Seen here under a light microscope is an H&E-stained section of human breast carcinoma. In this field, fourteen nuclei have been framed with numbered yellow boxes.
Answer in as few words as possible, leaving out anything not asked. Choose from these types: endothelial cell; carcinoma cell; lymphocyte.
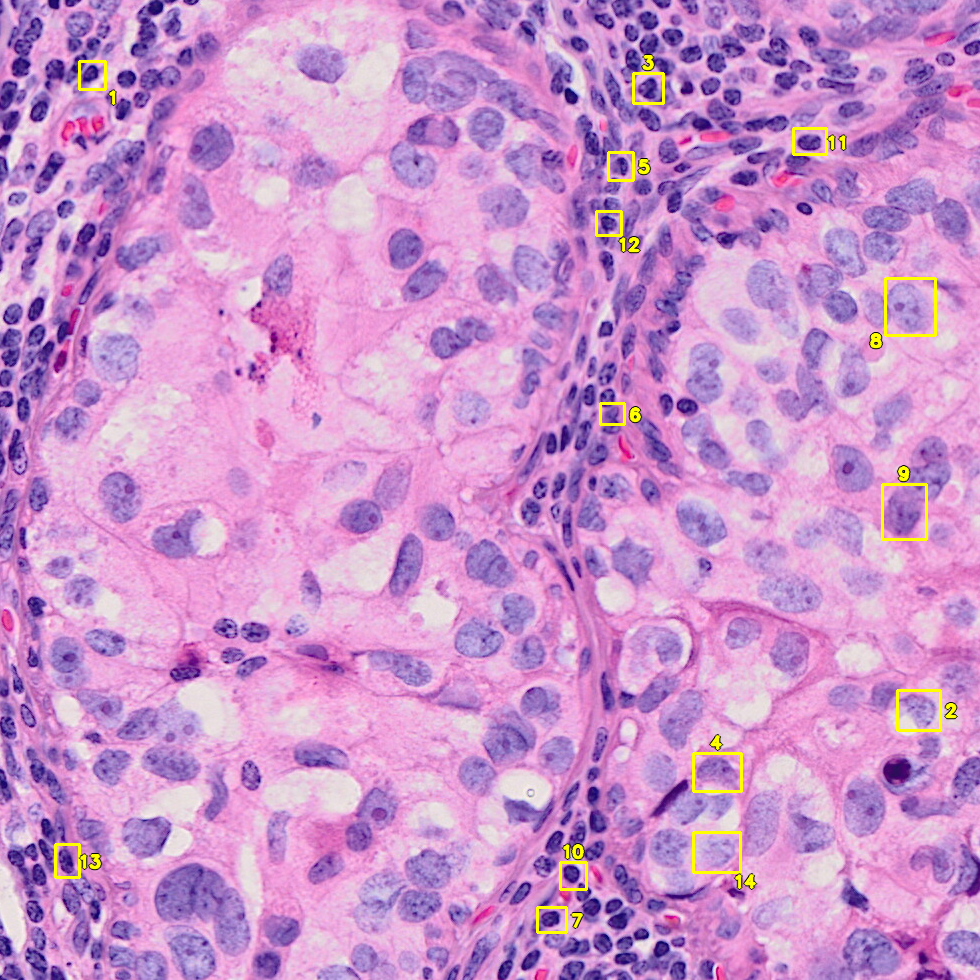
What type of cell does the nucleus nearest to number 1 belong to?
lymphocyte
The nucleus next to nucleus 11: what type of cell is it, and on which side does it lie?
an endothelial cell below and to the left of nucleus 11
